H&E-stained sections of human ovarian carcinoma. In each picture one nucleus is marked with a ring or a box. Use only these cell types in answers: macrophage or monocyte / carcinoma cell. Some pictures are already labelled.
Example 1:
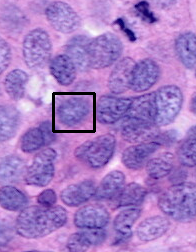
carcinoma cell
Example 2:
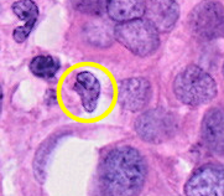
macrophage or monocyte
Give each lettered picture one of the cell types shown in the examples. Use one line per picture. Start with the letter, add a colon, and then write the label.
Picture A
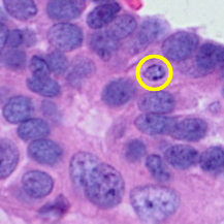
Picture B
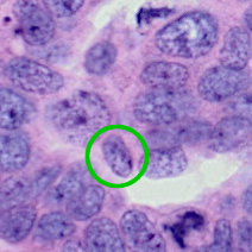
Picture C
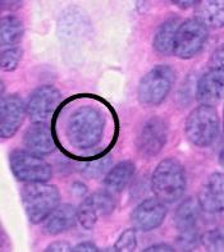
A: macrophage or monocyte
B: macrophage or monocyte
C: carcinoma cell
